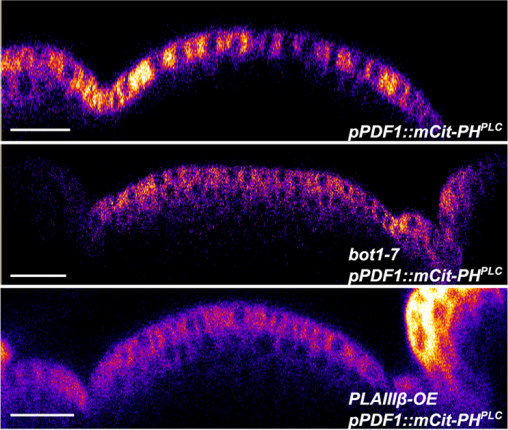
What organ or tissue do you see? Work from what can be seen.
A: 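Shoot apical meristems. Each of the three images shows a dome-shaped tissue profile in section. Fluorescence lines a single outer layer of cells along the curved surface. Bulges at the flanks of the domes are separated from the dome by folds.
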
